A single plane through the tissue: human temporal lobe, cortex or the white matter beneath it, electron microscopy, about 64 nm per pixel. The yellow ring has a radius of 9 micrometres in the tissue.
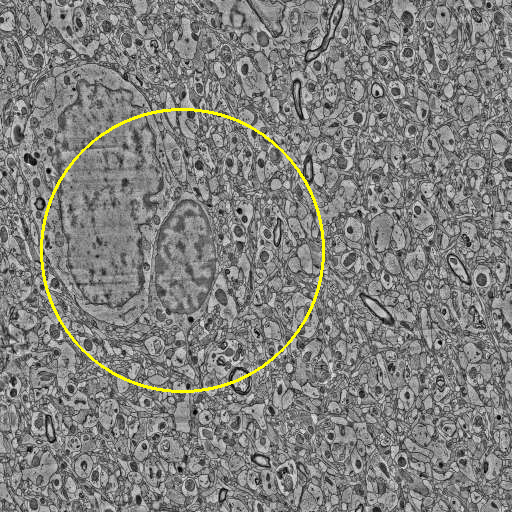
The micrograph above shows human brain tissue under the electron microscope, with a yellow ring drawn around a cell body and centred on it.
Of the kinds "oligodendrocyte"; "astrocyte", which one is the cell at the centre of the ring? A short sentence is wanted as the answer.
The one at the centre of the ring is an oligodendrocyte.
